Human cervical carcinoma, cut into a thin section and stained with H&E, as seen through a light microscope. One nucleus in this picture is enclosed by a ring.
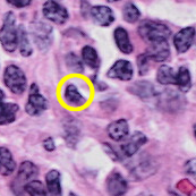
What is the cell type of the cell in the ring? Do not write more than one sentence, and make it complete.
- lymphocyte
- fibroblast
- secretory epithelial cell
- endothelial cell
It is as a lymphocyte that the cell in the ring is recorded.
